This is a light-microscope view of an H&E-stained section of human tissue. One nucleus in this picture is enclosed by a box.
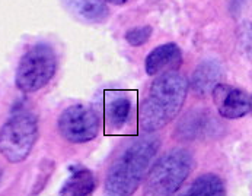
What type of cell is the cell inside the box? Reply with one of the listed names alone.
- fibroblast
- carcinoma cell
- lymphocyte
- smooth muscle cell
lymphocyte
